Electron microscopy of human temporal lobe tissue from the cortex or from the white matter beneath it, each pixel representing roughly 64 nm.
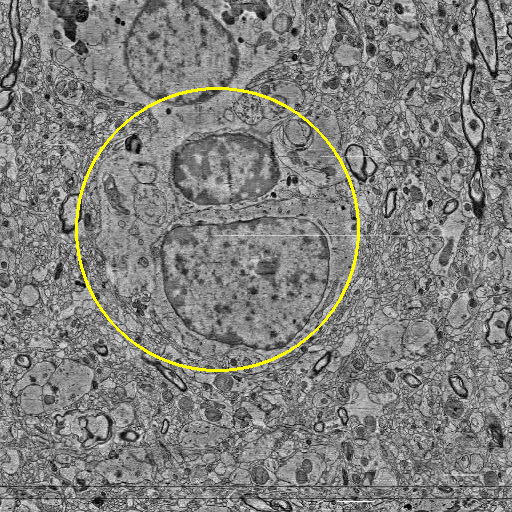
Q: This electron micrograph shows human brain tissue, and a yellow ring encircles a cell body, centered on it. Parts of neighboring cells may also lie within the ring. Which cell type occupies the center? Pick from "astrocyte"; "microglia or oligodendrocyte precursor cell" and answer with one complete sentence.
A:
What sits at the ring's center in this micrograph is a microglial cell or oligodendrocyte precursor cell, among those choices.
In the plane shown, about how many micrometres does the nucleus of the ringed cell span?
Roughly 11 by 9 micrometres in this plane, for the nucleus of the ringed cell.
